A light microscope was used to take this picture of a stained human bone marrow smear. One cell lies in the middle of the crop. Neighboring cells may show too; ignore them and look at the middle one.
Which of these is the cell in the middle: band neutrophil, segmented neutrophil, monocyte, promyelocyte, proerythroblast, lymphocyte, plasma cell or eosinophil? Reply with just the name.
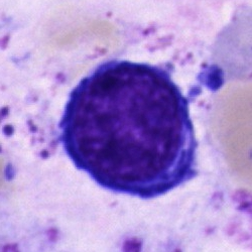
proerythroblast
